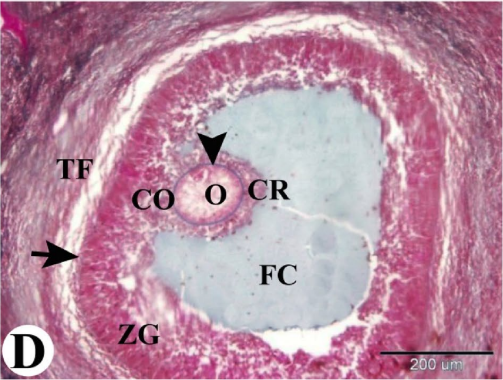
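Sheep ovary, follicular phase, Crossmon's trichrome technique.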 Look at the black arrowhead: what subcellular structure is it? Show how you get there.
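Zona pellucida. The arrowhead points at a clear rim directly around the oocyte. The rim lies between the oocyte and the surrounding ring of cells.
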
